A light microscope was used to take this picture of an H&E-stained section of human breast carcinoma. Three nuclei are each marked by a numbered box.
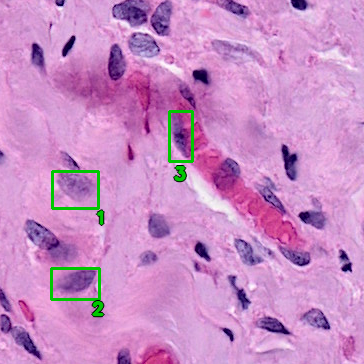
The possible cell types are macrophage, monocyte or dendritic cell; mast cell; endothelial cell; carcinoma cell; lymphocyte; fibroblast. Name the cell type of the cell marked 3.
endothelial cell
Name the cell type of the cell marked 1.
fibroblast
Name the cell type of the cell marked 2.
fibroblast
